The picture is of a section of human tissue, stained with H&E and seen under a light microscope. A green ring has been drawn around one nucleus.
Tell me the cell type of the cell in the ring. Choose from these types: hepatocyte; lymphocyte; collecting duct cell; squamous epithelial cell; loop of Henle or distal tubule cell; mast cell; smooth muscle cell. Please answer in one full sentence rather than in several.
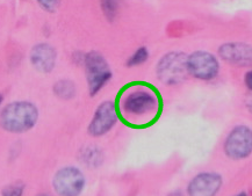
In this tissue sample, the cell in the ring is a collecting duct cell.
